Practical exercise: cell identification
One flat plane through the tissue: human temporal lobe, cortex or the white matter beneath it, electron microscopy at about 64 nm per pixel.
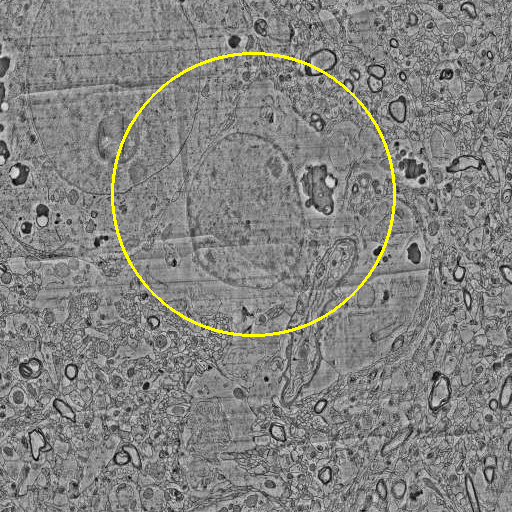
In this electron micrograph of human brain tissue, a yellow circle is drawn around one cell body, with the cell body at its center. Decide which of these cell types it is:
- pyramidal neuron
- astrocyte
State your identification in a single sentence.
The ringed cell is an astrocyte.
